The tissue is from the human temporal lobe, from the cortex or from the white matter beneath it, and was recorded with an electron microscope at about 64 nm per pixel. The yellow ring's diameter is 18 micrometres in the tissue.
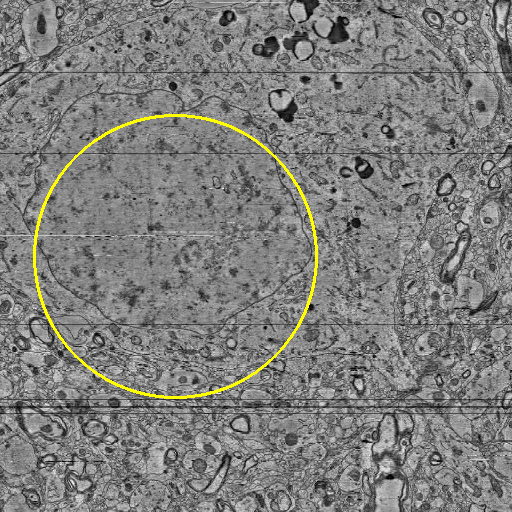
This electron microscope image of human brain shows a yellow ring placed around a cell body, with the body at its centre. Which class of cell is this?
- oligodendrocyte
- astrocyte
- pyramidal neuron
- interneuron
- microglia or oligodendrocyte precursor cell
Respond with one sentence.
The cell body at the ring's centre is a pyramidal neuron.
